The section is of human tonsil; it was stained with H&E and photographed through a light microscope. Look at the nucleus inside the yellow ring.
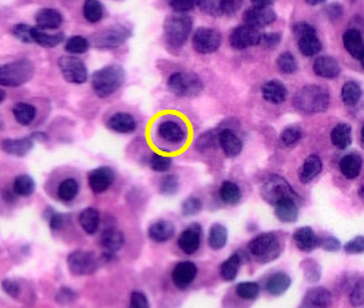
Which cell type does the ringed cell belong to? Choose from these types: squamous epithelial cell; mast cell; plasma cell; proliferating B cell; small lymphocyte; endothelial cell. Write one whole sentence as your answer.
This is a plasma cell.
